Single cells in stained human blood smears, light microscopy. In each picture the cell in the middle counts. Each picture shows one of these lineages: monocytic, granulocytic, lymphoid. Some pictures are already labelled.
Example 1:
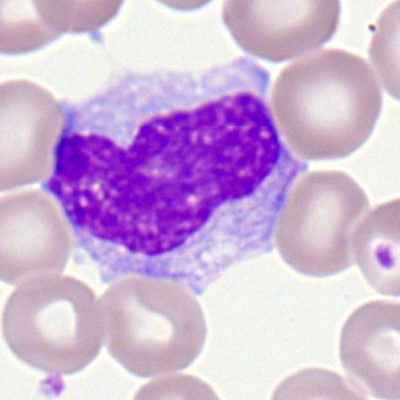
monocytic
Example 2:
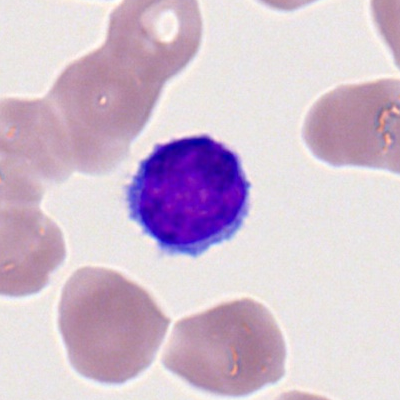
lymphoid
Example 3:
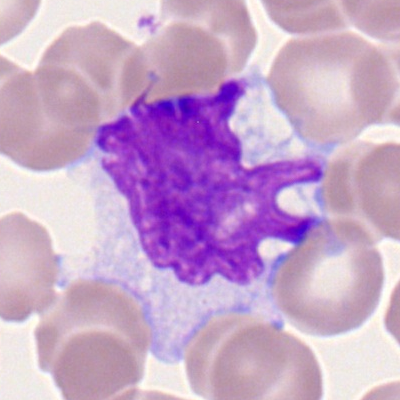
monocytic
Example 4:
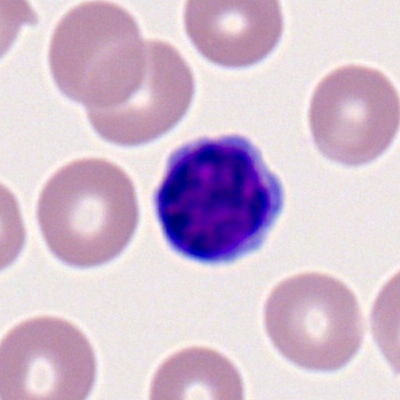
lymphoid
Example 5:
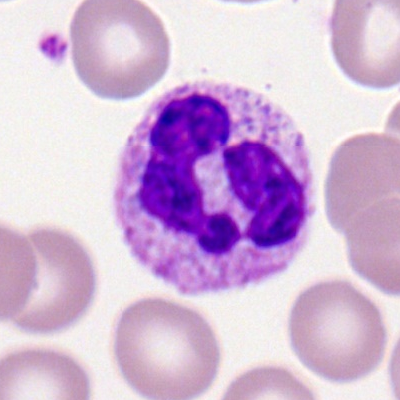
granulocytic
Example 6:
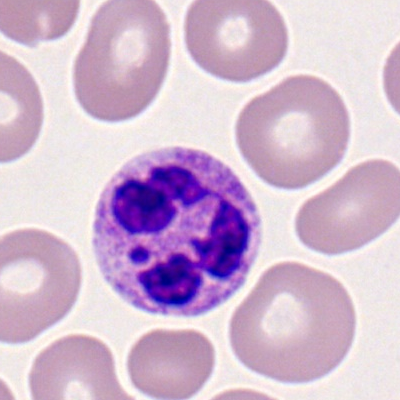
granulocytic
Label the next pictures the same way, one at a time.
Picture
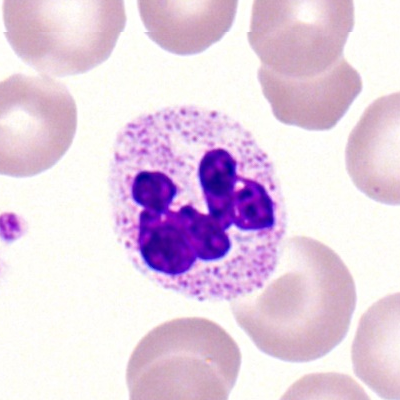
granulocytic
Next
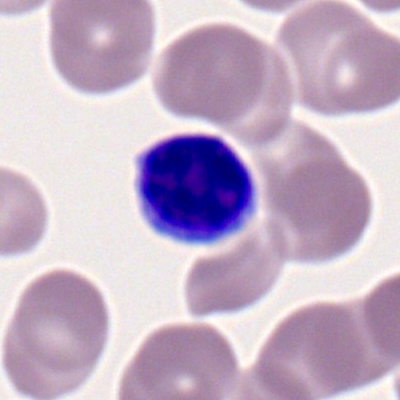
lymphoid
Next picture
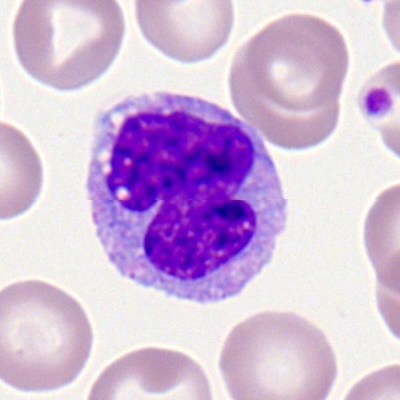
monocytic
